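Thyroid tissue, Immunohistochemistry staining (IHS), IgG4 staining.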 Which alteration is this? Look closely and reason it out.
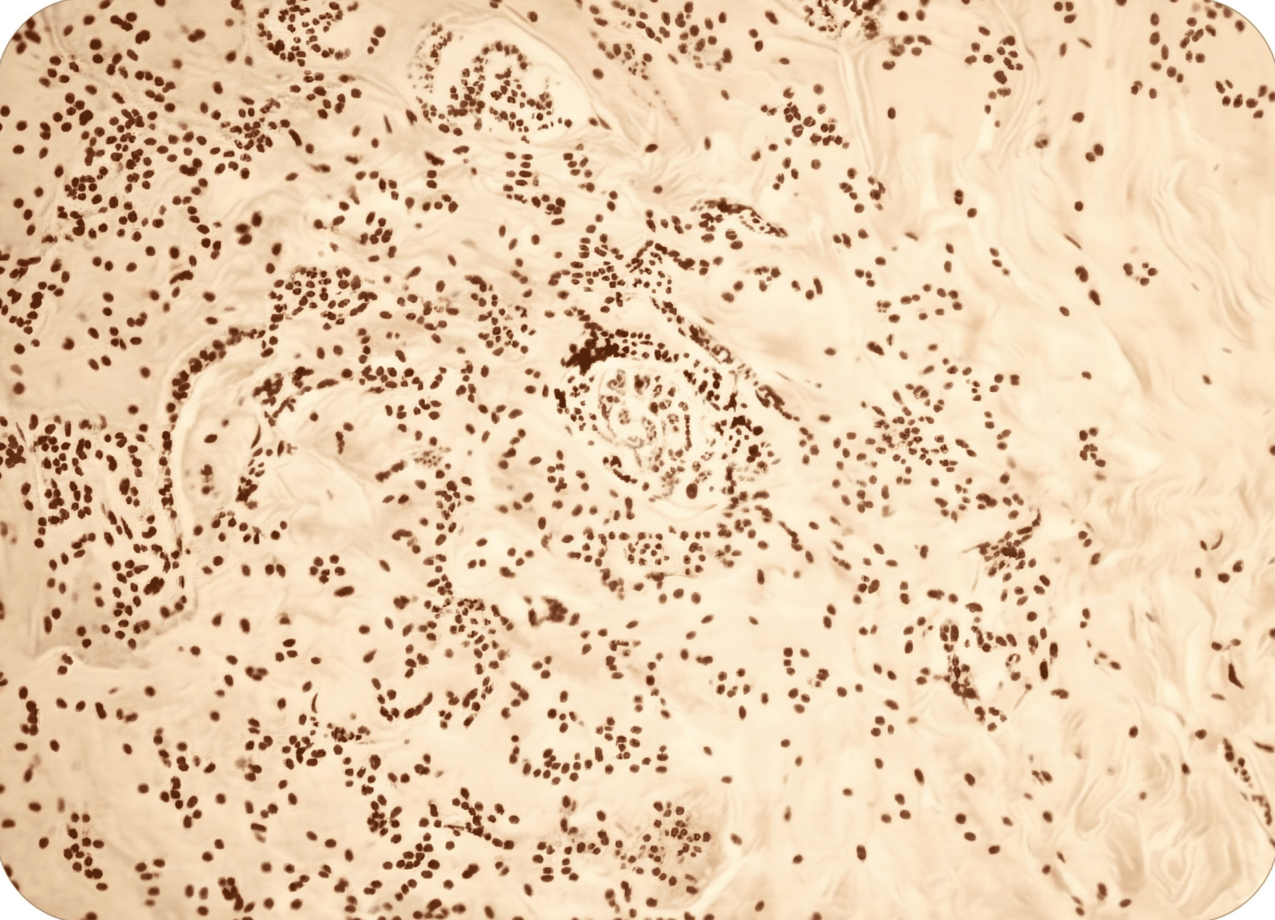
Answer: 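Fibrosclerotic. Much of the field is pale, wavy, fibrous-looking stroma. The right side is sparsely cellular with elongated nuclei among bands of collagen-like tissue.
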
